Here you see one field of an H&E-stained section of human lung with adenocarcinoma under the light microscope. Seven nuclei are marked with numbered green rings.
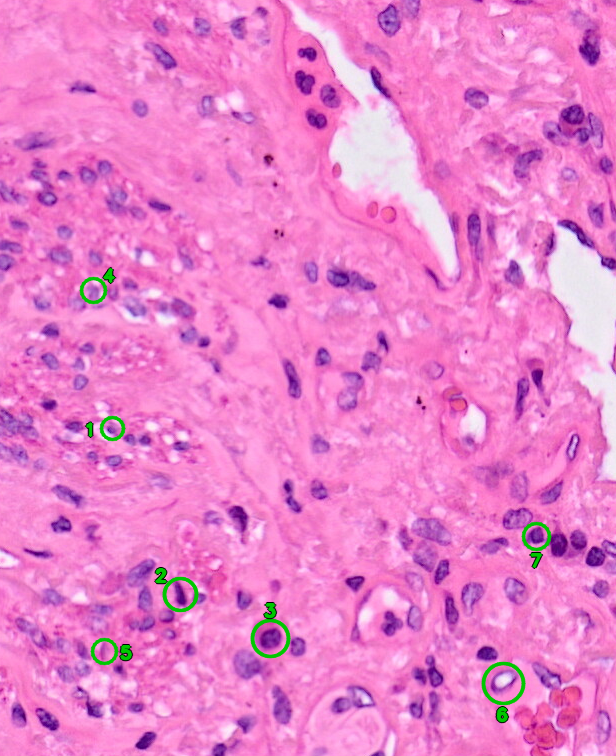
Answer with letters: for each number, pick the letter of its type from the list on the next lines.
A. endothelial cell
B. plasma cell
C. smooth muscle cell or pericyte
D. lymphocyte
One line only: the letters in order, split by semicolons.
C; C; B; C; C; A; D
